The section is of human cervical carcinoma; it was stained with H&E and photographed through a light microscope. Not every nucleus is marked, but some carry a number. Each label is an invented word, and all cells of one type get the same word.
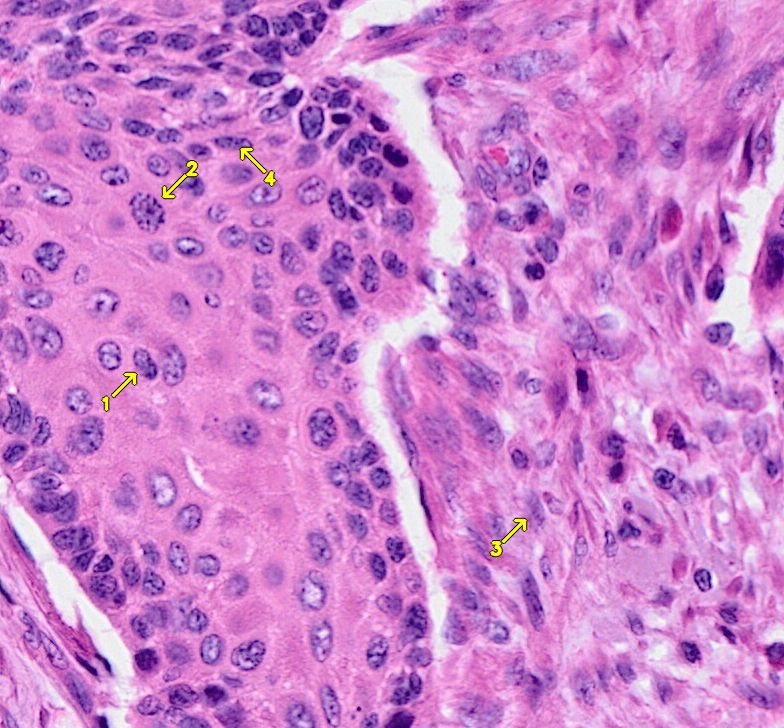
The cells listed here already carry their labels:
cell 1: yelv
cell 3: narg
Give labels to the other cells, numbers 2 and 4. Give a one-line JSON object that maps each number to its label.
{"2": "yelv", "4": "yelv"}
